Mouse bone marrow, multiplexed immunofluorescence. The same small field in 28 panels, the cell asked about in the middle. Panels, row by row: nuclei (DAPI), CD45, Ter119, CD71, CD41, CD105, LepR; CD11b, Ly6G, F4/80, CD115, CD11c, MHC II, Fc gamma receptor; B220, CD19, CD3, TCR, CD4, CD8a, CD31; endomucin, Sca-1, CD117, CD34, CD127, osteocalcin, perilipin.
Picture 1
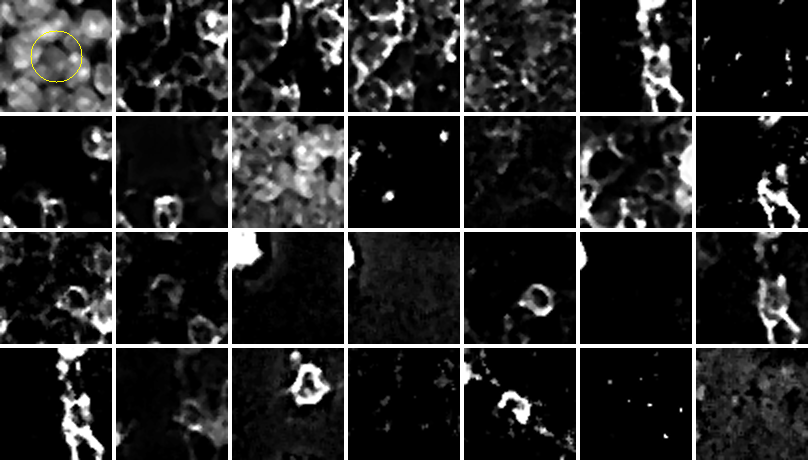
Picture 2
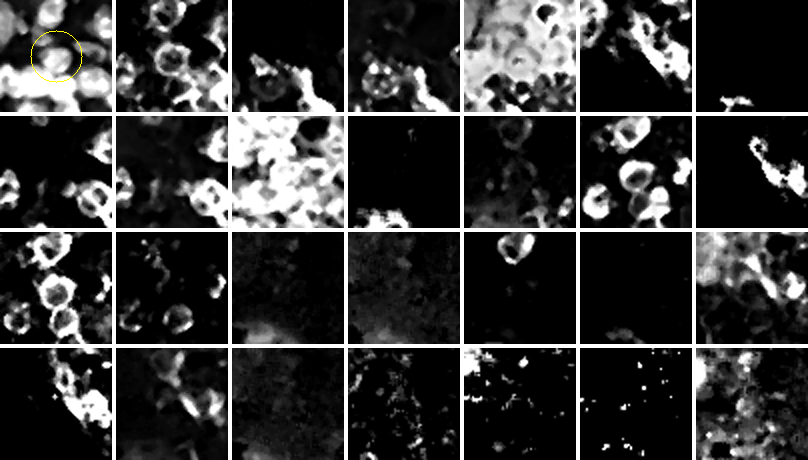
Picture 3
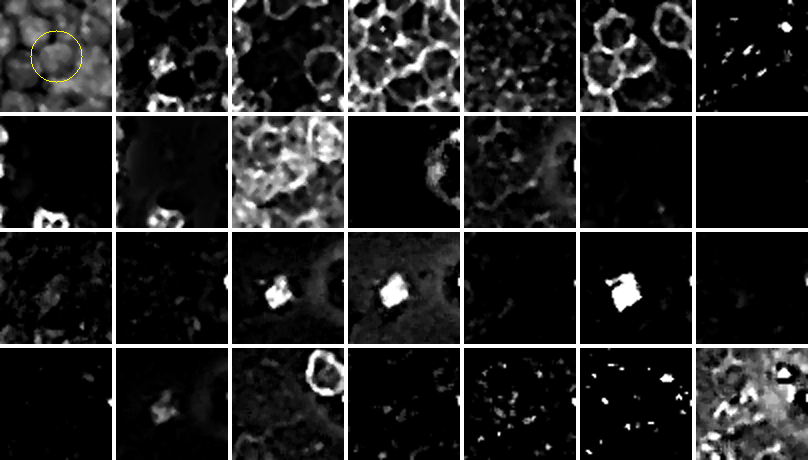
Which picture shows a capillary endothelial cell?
Picture 2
